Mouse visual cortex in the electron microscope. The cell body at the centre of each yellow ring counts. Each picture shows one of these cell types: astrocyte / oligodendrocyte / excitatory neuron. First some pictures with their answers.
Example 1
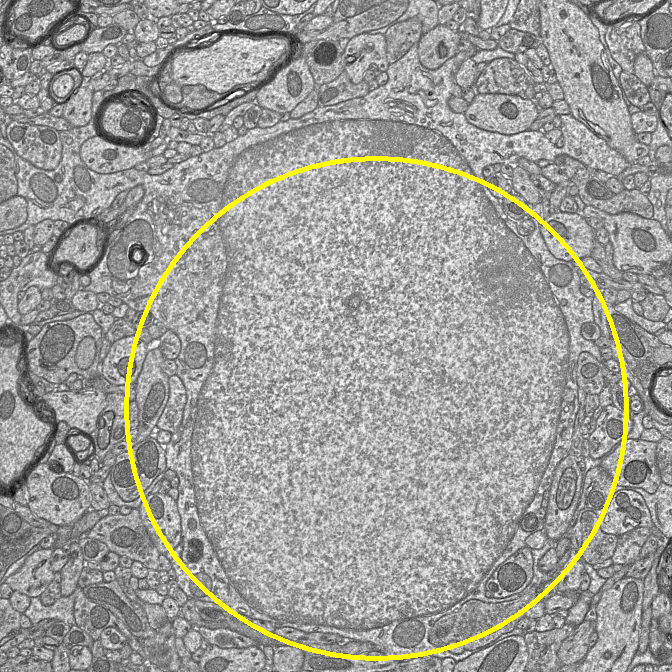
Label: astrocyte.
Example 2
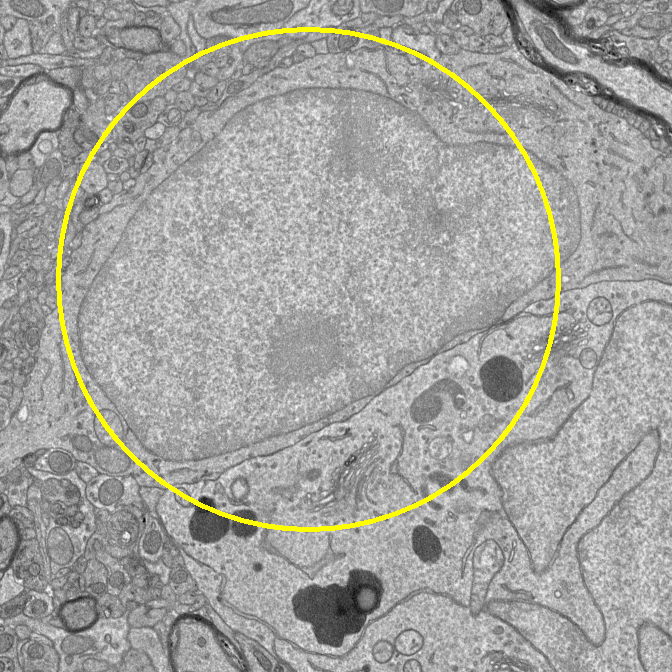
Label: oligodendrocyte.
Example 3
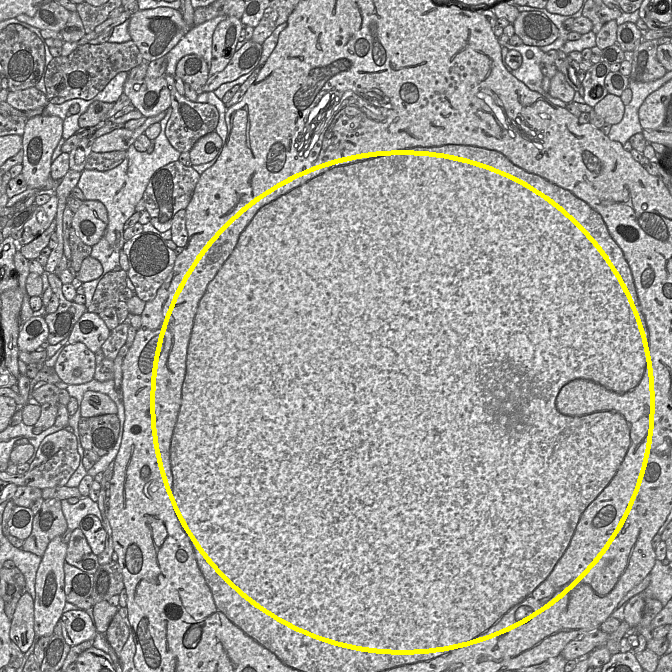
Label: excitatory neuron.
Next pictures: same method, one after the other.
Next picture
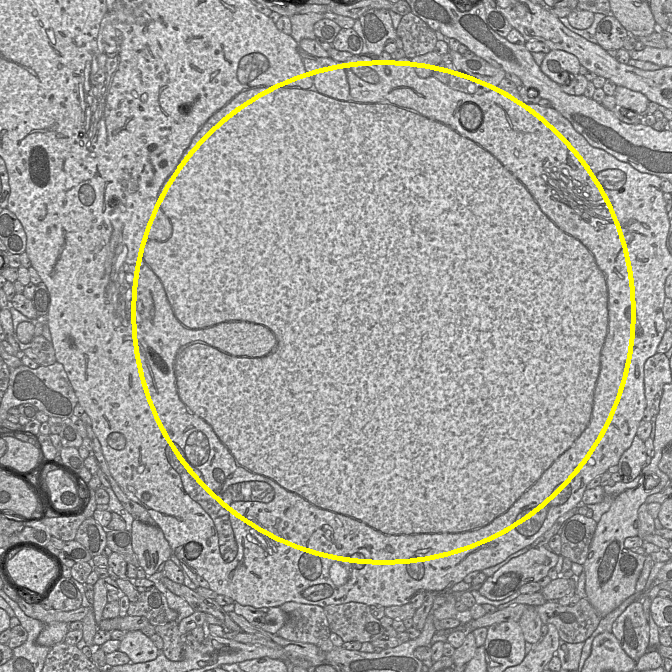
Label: excitatory neuron.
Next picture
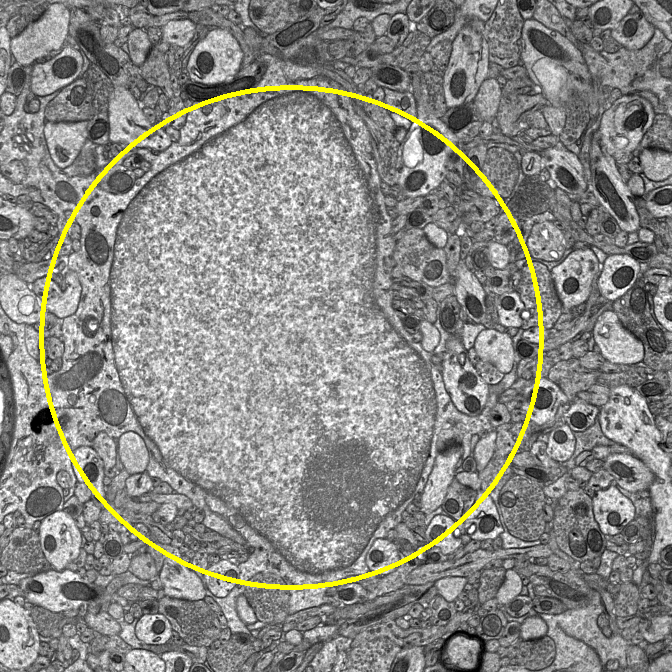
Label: astrocyte.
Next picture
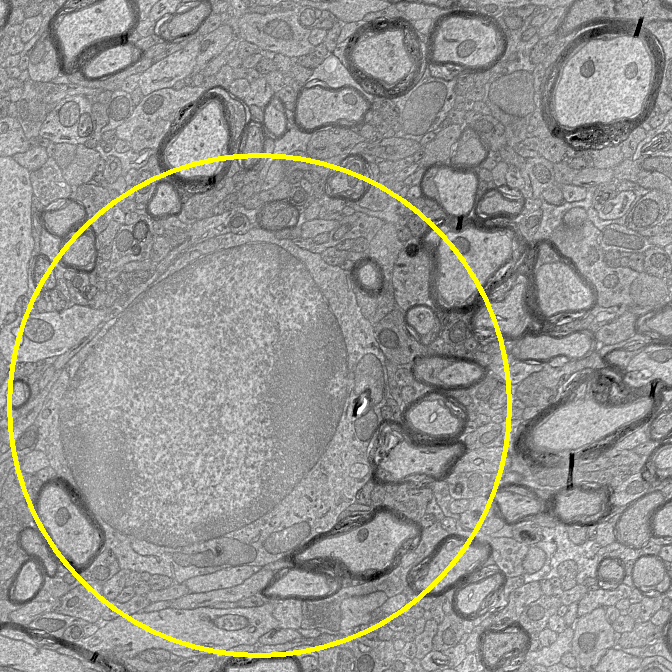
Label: oligodendrocyte.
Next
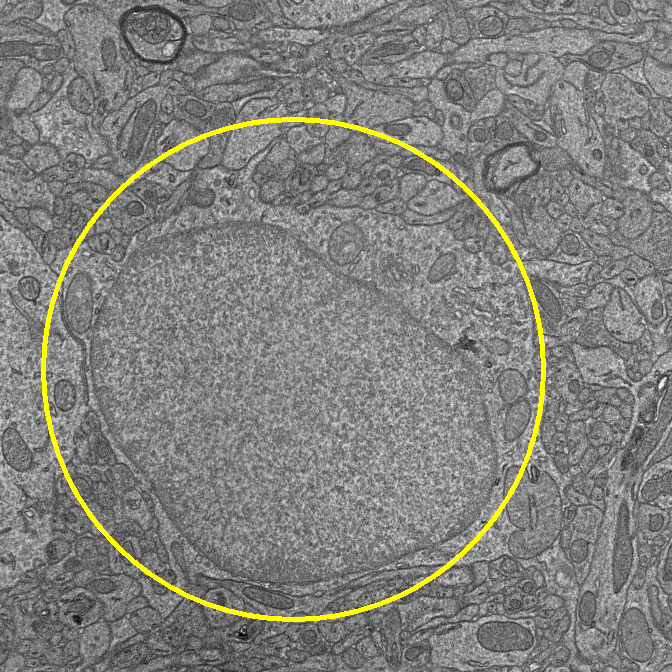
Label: astrocyte.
